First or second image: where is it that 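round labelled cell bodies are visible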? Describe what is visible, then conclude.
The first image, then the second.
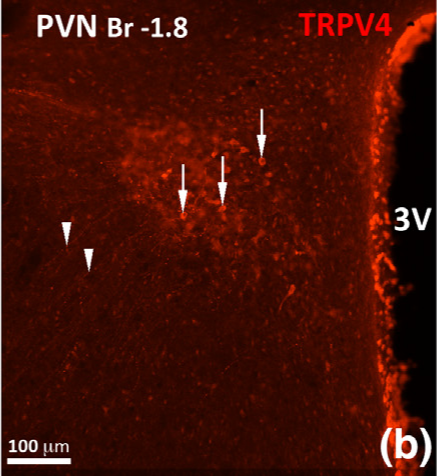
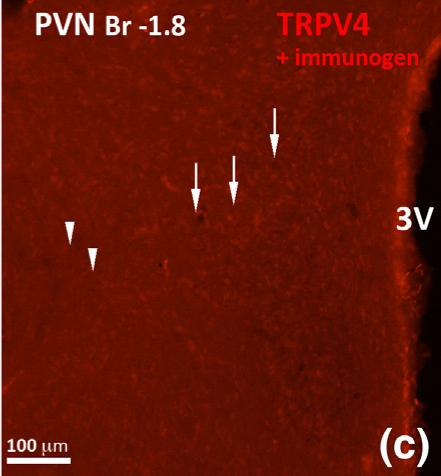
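Second image: the arrows point to uniform background with no bright round profiles. First image: the arrows point to bright red round profiles within a cluster of labelled cells.
The first image.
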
